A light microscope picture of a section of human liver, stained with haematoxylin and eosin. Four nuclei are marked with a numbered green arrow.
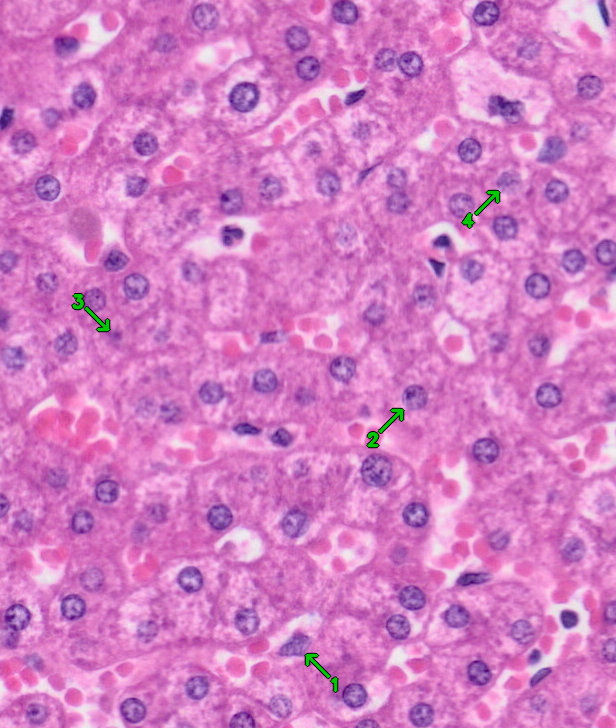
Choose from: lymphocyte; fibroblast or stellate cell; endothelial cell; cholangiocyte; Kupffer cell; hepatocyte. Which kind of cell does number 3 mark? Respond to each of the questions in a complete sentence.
The mark numbered 3 indicates the nucleus of a hepatocyte.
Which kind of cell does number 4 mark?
At number 4, the marked cell is a hepatocyte.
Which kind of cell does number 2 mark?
The numbered cell 2 is identified here as a hepatocyte.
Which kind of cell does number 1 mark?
The cell indicated with the number 1 is classed as a Kupffer cell.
